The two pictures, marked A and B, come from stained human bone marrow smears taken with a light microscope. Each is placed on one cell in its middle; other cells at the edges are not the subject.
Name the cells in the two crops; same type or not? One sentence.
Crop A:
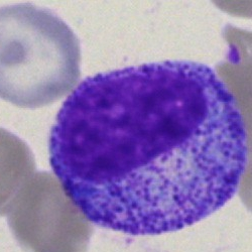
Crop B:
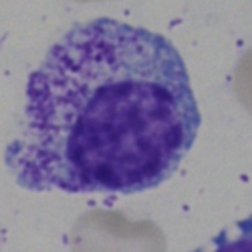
Yes, both crops depict myelocytes at the centre.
